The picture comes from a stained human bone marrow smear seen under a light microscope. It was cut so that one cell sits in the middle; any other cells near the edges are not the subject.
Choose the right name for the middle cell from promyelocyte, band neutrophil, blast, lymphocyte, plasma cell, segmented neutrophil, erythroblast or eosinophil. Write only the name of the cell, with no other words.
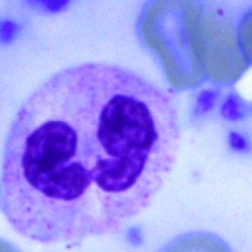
segmented neutrophil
